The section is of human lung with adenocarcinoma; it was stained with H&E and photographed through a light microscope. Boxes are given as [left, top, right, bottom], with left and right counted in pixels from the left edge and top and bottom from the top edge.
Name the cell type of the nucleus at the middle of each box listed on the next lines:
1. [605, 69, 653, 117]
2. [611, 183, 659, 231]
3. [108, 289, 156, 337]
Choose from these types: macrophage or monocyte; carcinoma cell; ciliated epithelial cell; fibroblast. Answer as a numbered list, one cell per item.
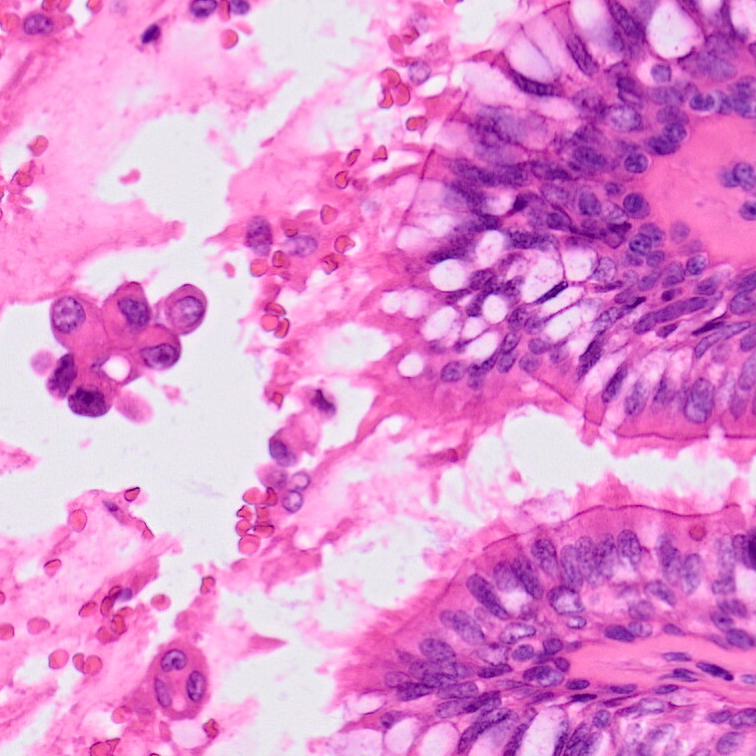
1. ciliated epithelial cell
2. ciliated epithelial cell
3. carcinoma cell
